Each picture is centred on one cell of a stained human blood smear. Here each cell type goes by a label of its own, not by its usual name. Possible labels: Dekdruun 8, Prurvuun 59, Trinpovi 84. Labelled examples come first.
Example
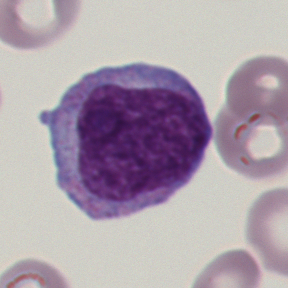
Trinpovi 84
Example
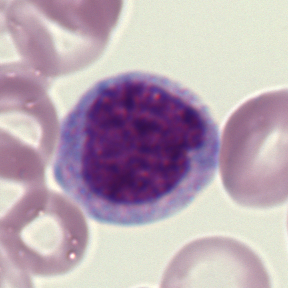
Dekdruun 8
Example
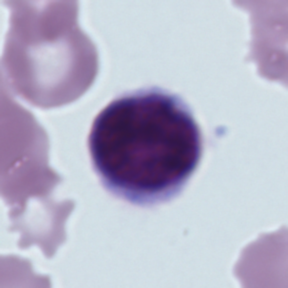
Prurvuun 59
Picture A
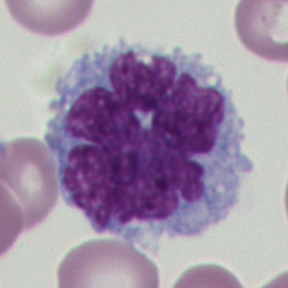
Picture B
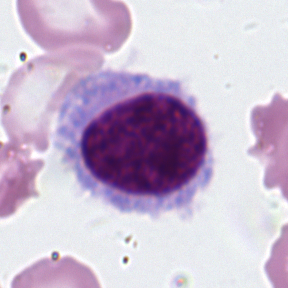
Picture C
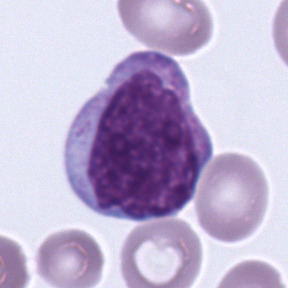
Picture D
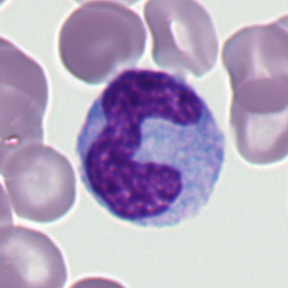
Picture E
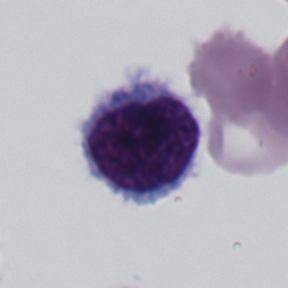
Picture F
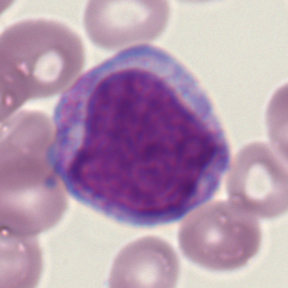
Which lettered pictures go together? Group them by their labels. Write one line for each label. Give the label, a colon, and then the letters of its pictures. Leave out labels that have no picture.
Dekdruun 8: A, D
Prurvuun 59: B, E
Trinpovi 84: C, F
